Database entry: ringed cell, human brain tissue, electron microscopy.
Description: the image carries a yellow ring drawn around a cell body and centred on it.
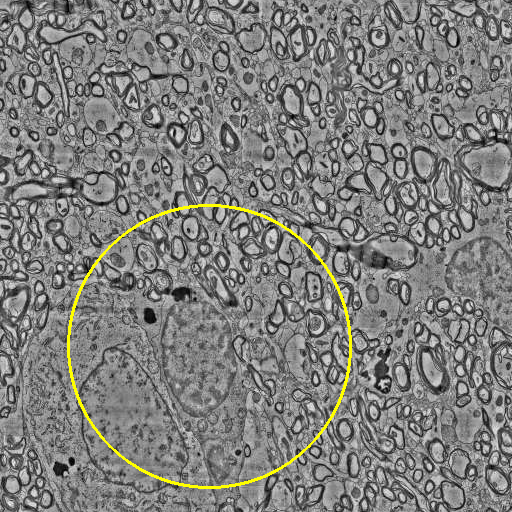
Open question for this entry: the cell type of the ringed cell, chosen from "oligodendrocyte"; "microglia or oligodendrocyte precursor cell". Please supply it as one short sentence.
The ringed cell is an oligodendrocyte.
